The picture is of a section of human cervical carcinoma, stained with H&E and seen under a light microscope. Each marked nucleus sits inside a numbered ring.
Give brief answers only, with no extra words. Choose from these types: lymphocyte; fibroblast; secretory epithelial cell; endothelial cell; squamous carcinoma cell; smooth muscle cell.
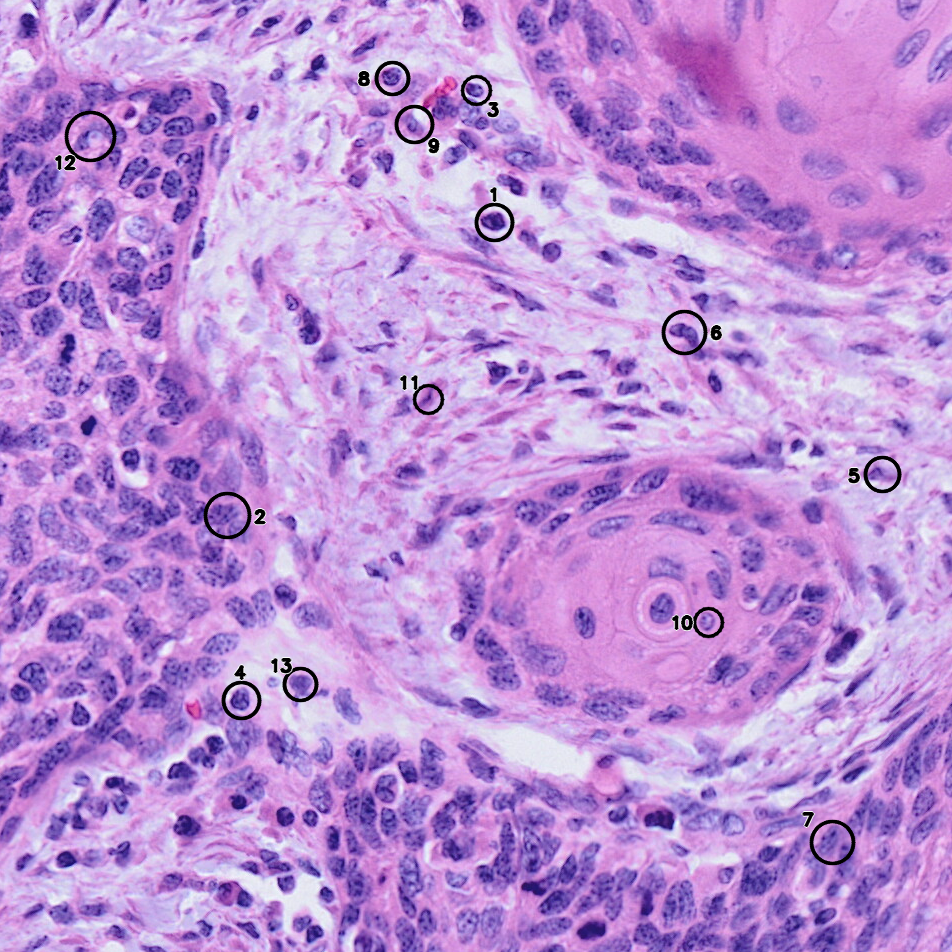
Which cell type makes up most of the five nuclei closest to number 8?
endothelial cell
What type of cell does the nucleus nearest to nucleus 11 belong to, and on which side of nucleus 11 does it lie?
a fibroblast; to the left of nucleus 11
